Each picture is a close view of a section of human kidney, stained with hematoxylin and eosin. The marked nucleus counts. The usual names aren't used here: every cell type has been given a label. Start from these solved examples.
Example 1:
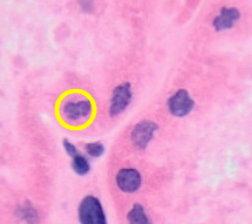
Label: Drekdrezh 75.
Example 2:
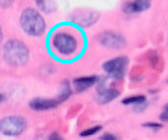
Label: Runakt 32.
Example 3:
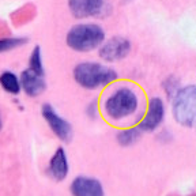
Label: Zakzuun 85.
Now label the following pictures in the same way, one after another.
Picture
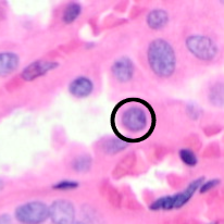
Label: Runakt 32.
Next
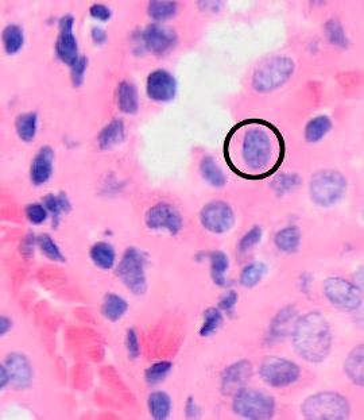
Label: Runakt 32.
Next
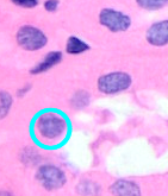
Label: Runakt 32.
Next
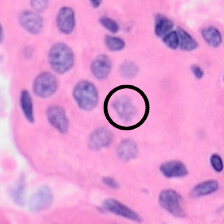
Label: Runakt 32.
